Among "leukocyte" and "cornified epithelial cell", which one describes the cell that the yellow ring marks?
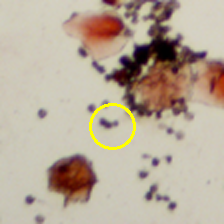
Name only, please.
leukocyte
